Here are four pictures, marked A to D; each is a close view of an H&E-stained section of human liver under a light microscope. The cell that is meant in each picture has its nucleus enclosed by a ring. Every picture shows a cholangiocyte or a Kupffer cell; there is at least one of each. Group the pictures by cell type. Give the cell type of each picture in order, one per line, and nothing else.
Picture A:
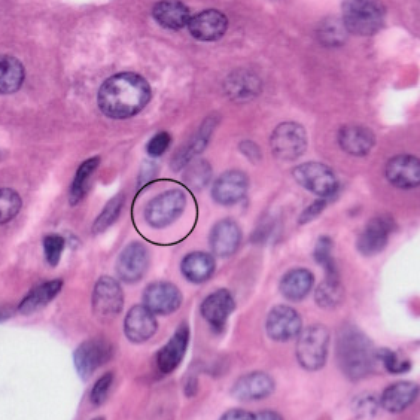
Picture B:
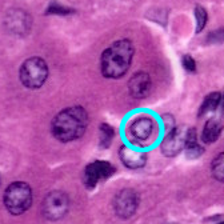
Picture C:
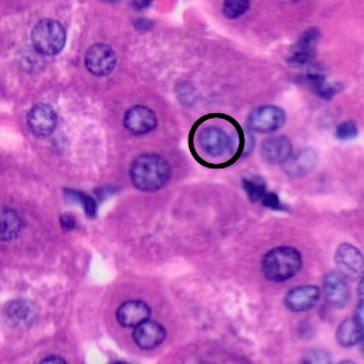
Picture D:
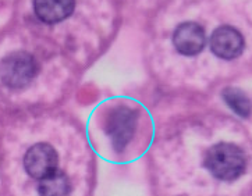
cholangiocyte
cholangiocyte
cholangiocyte
Kupffer cell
